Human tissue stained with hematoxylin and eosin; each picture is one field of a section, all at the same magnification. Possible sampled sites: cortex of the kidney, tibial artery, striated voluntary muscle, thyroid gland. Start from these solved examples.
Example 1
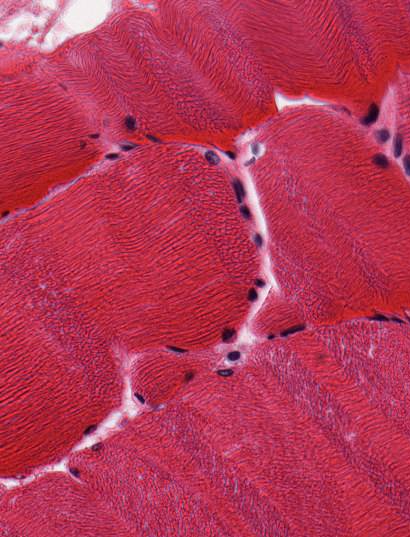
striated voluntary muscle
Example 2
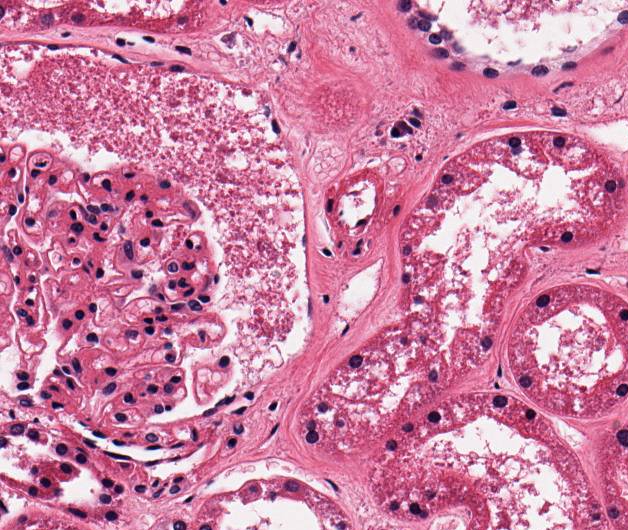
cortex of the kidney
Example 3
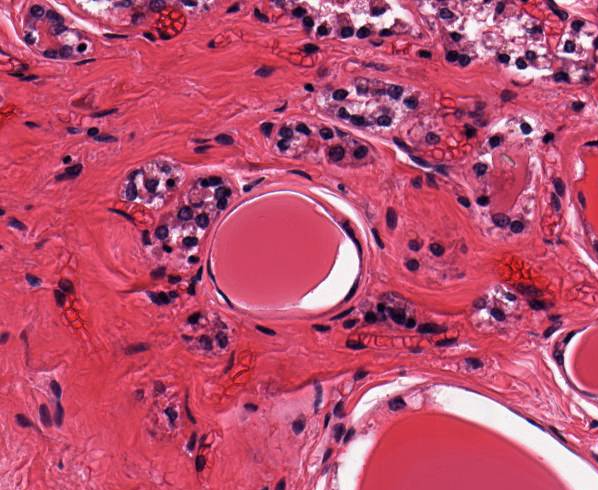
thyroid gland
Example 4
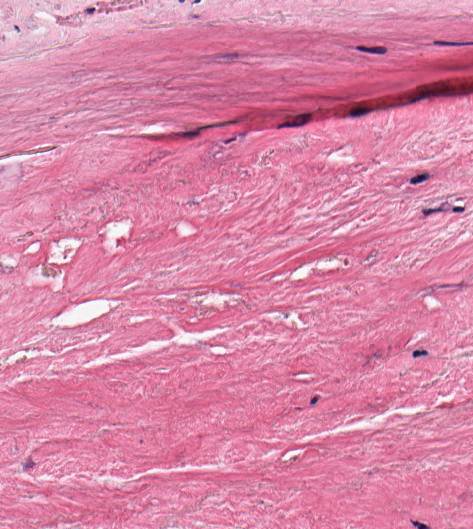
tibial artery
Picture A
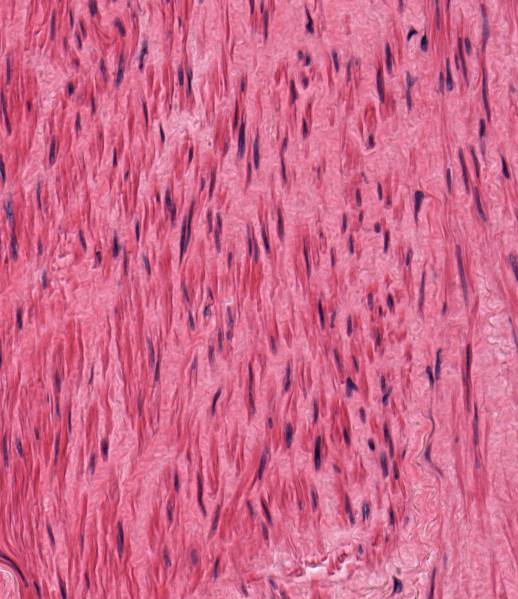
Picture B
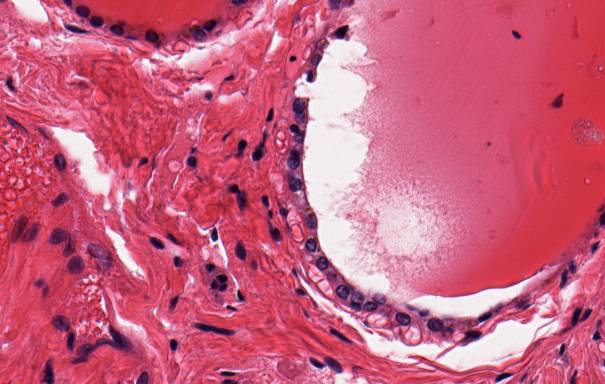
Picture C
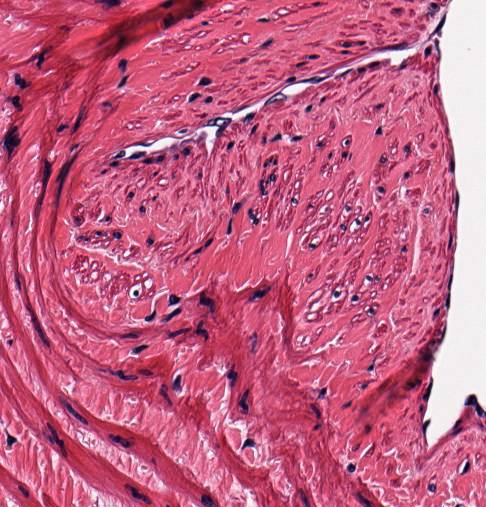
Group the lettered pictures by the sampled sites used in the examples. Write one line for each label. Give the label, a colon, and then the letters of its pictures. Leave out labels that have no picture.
tibial artery: A, C
thyroid gland: B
